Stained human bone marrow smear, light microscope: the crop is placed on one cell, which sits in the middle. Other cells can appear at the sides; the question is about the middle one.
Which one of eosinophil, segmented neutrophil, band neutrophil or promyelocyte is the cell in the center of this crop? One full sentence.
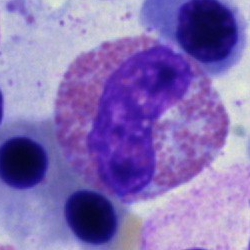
In short, the cell at the center is an eosinophil.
